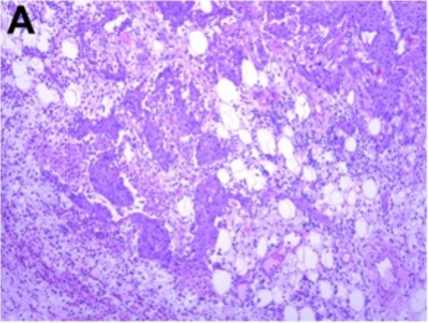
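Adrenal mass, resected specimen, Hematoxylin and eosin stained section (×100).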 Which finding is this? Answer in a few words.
adipose tissues infiltrated by tumor cells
